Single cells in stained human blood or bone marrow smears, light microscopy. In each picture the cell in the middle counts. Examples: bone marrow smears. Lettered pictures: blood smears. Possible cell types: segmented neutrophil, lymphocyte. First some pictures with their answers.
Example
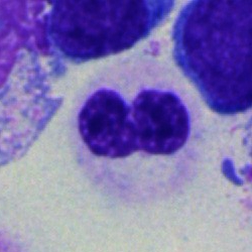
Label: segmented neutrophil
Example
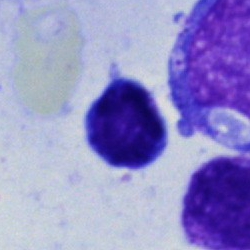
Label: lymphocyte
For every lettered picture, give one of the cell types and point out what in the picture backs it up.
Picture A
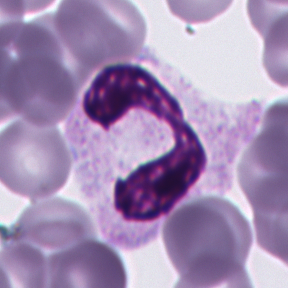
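Answer: segmented neutrophil. The nucleus is a single curved band bent into a C shape whose open side faces left.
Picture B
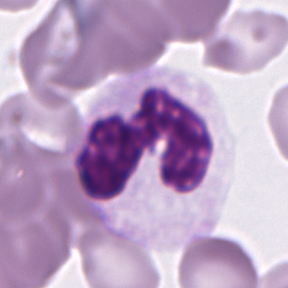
Answer: segmented neutrophil. The gap between the two nuclear lobes opens downward.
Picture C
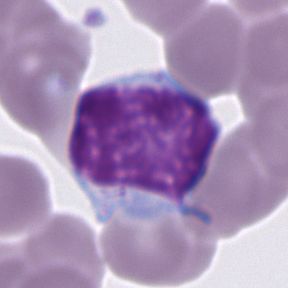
Answer: lymphocyte. The cytoplasm is pale blue and forms only a thin rim, widest below the nucleus.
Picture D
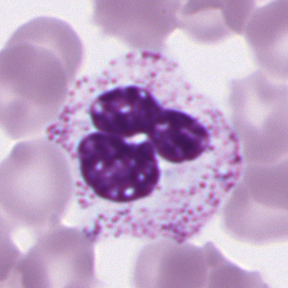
Answer: segmented neutrophil. The cytoplasm between the granules is pale and nearly colourless.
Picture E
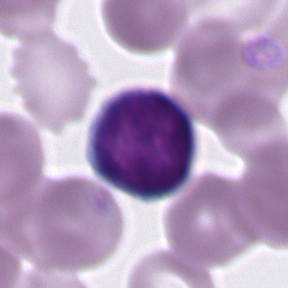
Answer: lymphocyte. The nucleus fills almost the whole cell, leaving only a very thin rim of cytoplasm.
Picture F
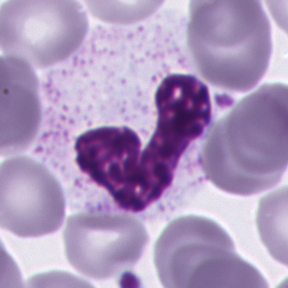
Answer: segmented neutrophil. The cytoplasm is abundant and very pale, widest on the upper-left side.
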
